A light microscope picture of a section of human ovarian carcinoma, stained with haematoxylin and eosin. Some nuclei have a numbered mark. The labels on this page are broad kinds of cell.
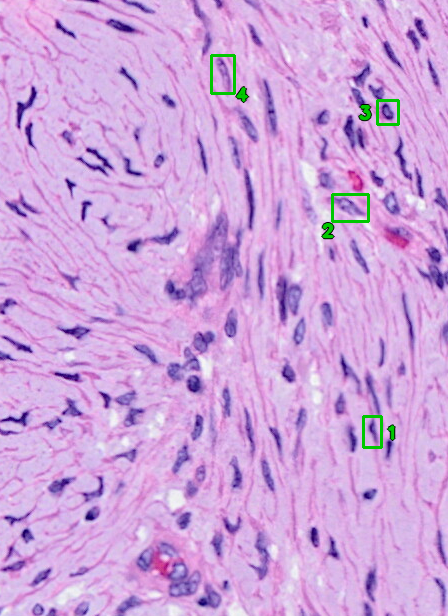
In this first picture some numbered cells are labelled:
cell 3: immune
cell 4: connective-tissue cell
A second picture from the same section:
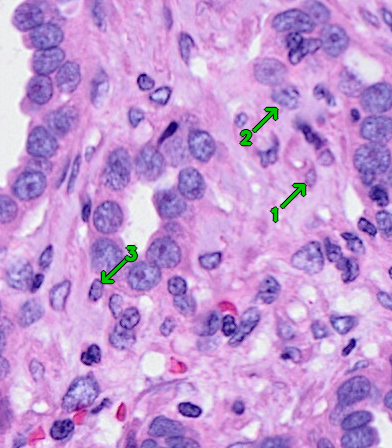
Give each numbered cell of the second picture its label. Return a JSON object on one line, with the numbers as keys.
{"1": "connective-tissue cell", "2": "connective-tissue cell", "3": "immune"}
